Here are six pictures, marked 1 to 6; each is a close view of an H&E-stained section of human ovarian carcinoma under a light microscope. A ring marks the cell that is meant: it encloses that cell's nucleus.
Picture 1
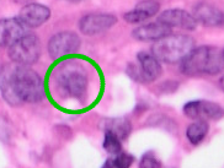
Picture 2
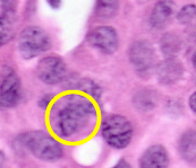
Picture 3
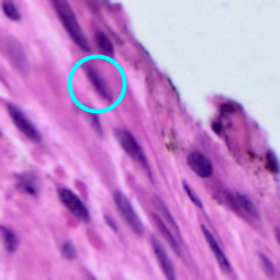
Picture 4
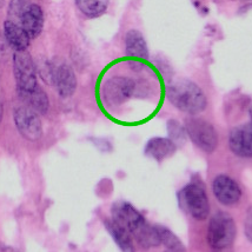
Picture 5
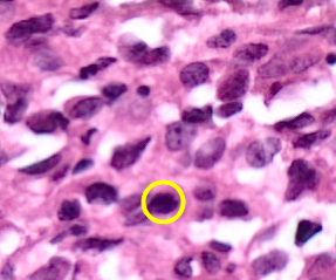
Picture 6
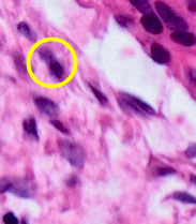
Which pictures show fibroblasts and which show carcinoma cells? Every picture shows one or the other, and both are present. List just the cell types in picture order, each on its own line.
carcinoma cell
carcinoma cell
fibroblast
carcinoma cell
carcinoma cell
fibroblast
